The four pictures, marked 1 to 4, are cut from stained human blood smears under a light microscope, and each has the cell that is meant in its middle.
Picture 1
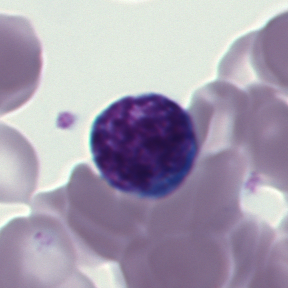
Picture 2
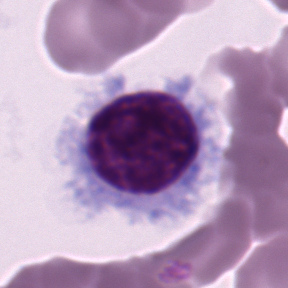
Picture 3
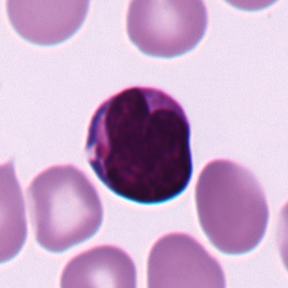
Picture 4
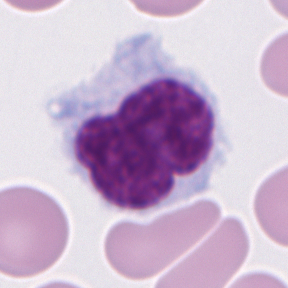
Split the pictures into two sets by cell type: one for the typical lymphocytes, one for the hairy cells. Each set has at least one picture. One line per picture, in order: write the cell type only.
typical lymphocyte
hairy cell
typical lymphocyte
hairy cell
